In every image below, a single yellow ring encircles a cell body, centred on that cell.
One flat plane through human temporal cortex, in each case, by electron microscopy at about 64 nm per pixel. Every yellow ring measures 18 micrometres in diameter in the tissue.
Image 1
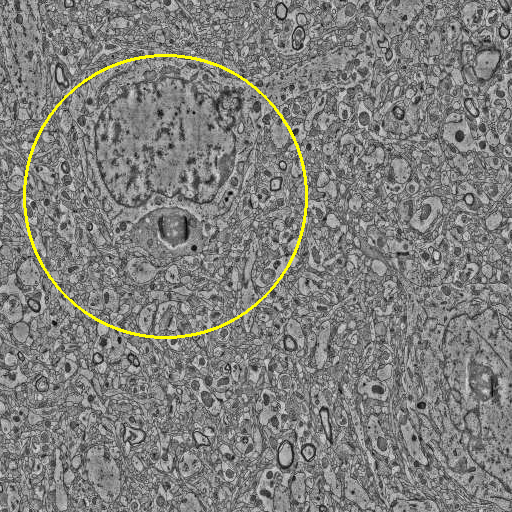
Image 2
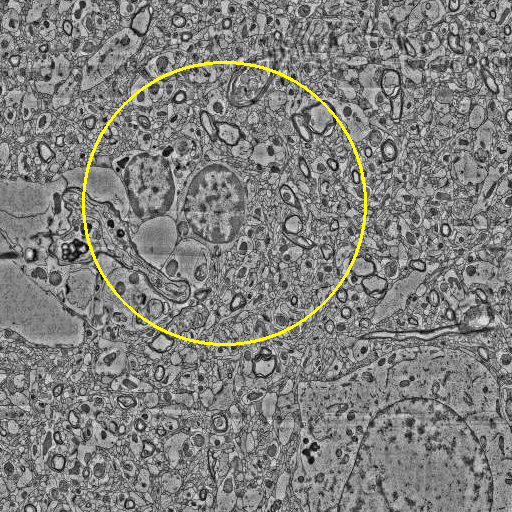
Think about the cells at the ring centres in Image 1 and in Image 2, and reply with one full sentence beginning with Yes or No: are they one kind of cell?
Yes, the cells centred in the rings of Image 1 and Image 2 are one kind of cell.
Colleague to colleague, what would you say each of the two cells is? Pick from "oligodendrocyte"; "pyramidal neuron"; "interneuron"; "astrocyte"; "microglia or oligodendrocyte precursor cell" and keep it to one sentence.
In each picture the ringed cell is an oligodendrocyte.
